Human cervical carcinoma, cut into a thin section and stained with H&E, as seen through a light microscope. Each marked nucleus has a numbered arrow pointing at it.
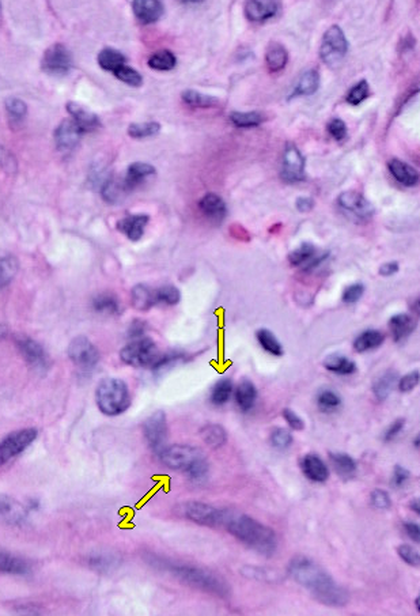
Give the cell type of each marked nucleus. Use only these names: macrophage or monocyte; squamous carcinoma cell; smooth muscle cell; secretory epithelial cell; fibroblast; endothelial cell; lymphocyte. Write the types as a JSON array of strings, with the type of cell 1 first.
["lymphocyte", "smooth muscle cell"]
